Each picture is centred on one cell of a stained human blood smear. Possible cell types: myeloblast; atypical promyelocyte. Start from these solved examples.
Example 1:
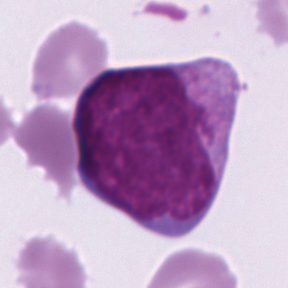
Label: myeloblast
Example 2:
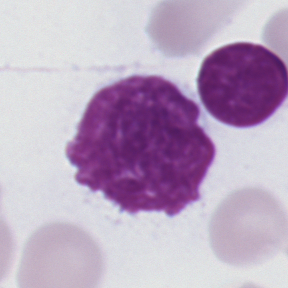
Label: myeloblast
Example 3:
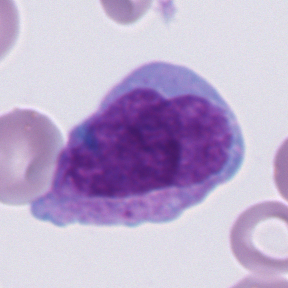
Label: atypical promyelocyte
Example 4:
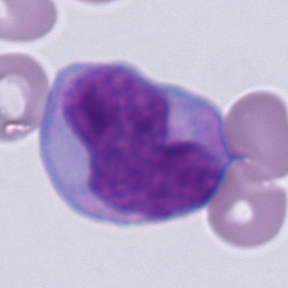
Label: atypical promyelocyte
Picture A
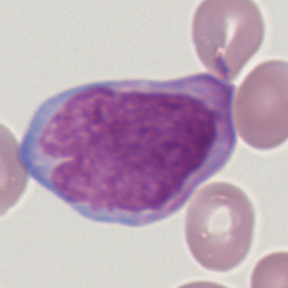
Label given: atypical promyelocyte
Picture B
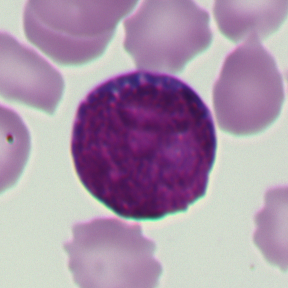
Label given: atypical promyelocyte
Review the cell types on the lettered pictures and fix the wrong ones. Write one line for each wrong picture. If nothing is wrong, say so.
B: change atypical promyelocyte to myeloblast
